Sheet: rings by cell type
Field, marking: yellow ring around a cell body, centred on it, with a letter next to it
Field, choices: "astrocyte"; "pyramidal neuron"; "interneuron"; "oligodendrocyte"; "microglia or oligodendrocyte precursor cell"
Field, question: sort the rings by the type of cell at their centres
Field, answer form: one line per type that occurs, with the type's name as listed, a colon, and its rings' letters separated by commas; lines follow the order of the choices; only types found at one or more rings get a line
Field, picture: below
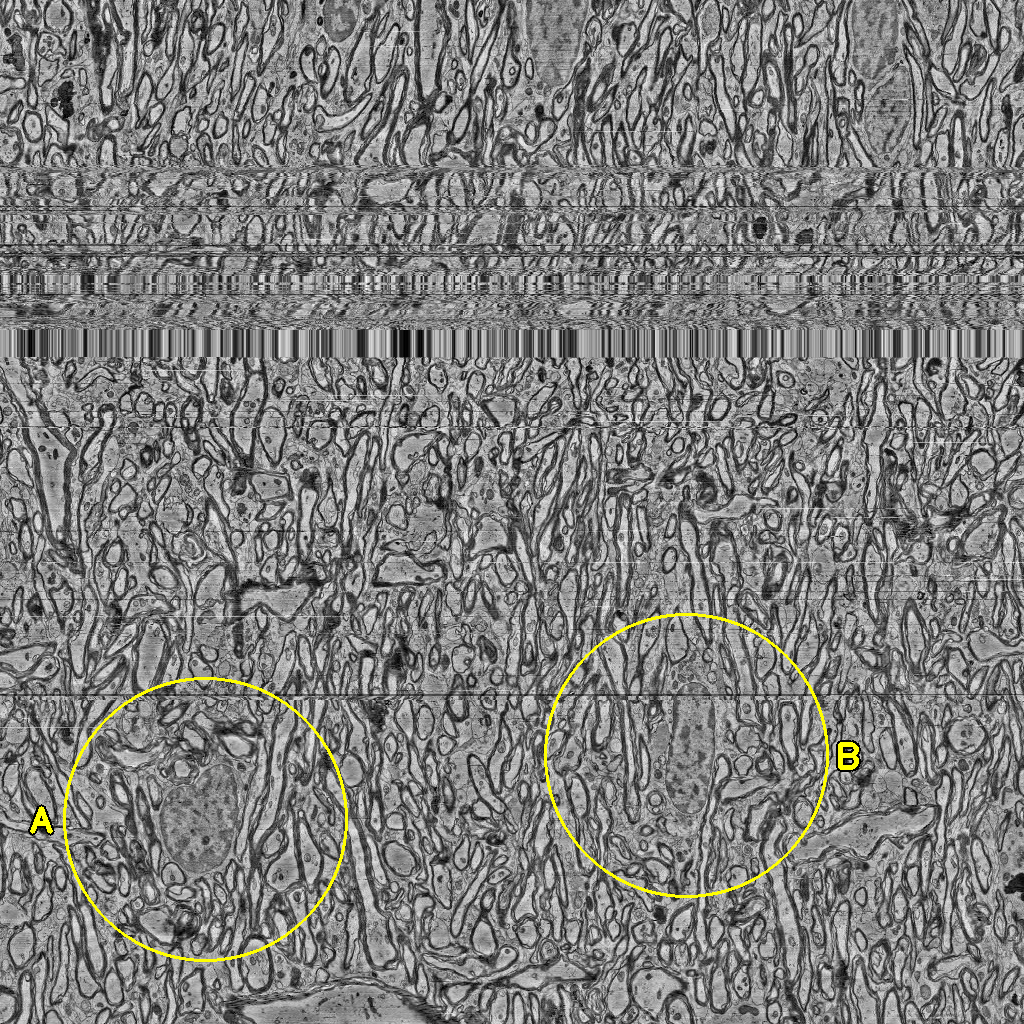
oligodendrocyte: A
microglia or oligodendrocyte precursor cell: B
